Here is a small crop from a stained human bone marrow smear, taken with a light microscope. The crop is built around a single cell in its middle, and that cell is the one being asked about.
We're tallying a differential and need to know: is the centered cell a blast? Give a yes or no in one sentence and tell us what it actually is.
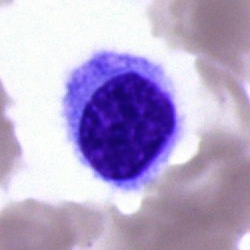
No, sorry, the middle cell is a hairy cell rather than a blast.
